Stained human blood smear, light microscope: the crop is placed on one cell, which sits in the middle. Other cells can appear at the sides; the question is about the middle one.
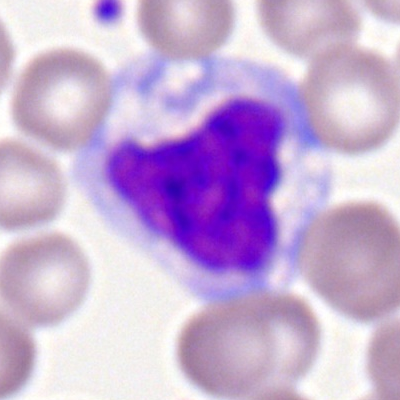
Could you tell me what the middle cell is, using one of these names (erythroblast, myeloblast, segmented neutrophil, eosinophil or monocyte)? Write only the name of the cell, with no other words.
monocyte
